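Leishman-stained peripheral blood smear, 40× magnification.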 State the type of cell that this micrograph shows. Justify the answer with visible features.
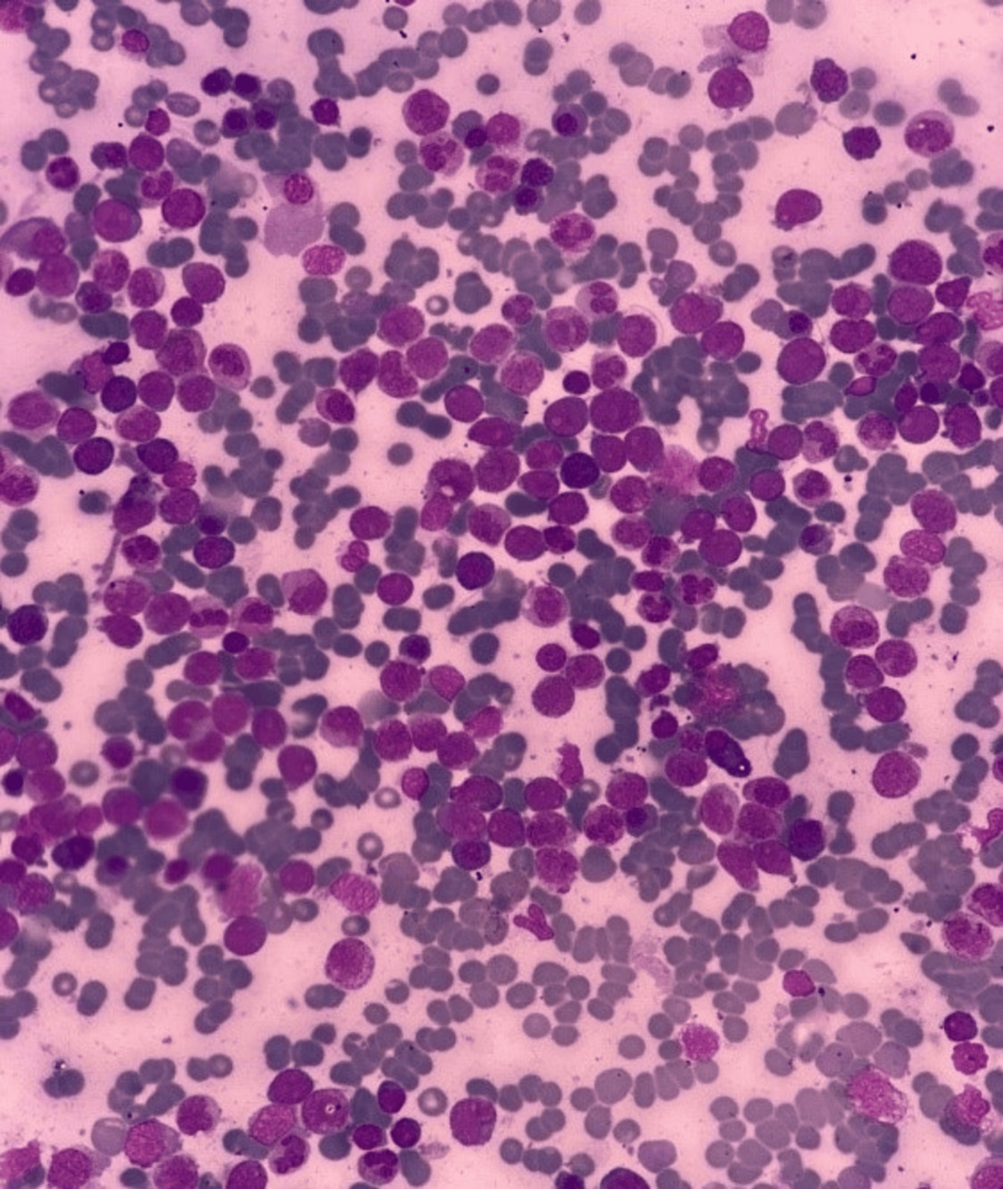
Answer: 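Many large nucleated cells with round purple nuclei are scattered among the red cells. The nucleated cells have finely textured, open chromatin and only a thin rim of cytoplasm. The nucleated cells are far more numerous than in normal blood.
Answer: blasts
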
